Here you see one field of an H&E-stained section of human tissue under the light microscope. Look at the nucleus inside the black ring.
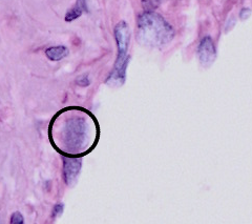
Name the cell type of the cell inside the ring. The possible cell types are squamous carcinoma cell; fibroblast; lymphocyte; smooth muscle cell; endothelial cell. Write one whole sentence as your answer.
This is an endothelial cell.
